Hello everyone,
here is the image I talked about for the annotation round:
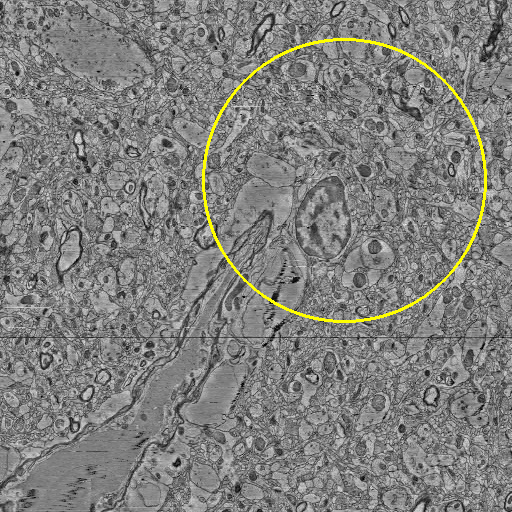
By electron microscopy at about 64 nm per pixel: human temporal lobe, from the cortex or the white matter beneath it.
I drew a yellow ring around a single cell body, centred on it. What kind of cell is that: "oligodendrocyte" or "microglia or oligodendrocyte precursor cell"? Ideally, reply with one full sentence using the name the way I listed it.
The cell your yellow ring is centred on is a microglial cell or oligodendrocyte precursor cell, going by your list.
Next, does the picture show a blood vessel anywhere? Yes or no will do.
Yes, the image shows a blood vessel.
